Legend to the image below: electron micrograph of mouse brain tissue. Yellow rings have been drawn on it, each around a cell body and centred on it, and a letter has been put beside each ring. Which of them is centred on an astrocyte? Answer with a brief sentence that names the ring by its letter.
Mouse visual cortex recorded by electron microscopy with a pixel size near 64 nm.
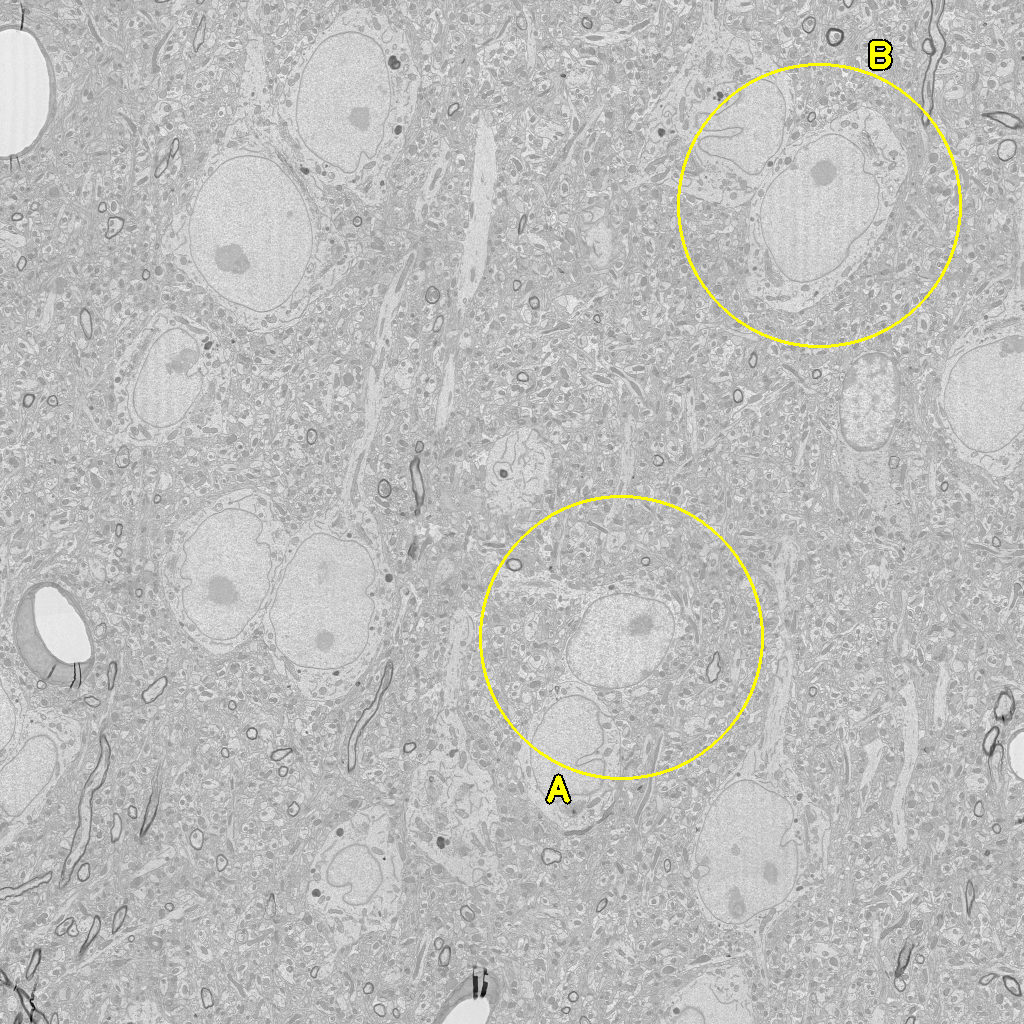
It is the ring lettered A.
